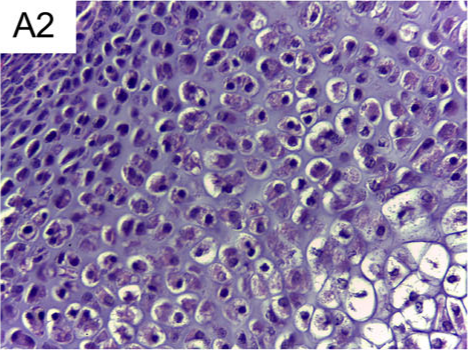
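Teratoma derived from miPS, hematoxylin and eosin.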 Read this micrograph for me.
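Cartilage with rounded chondrocytes, each sitting in a clear lacuna within a pale bluish-grey homogeneous matrix. Cells are densely spaced, with round purple nuclei and a thin rim of retracted cytoplasm. Toward one corner the cells become larger, clear and vacuolated, with thin partitions between them.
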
